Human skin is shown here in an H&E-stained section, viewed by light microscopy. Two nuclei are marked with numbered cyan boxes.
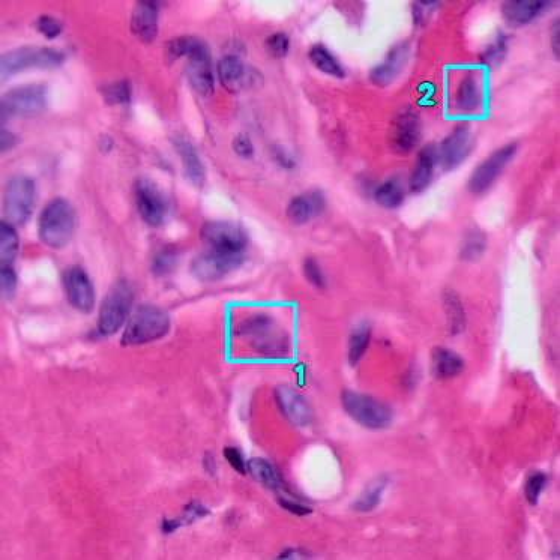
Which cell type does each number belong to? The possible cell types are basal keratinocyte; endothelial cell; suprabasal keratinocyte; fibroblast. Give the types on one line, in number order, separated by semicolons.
fibroblast; endothelial cell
